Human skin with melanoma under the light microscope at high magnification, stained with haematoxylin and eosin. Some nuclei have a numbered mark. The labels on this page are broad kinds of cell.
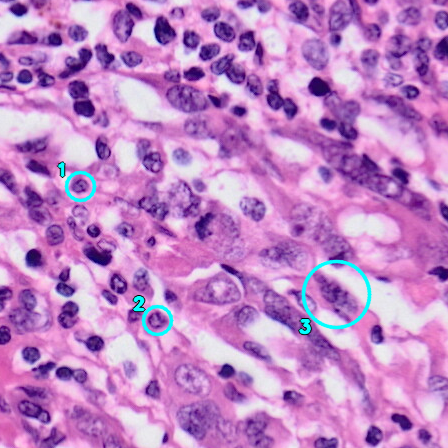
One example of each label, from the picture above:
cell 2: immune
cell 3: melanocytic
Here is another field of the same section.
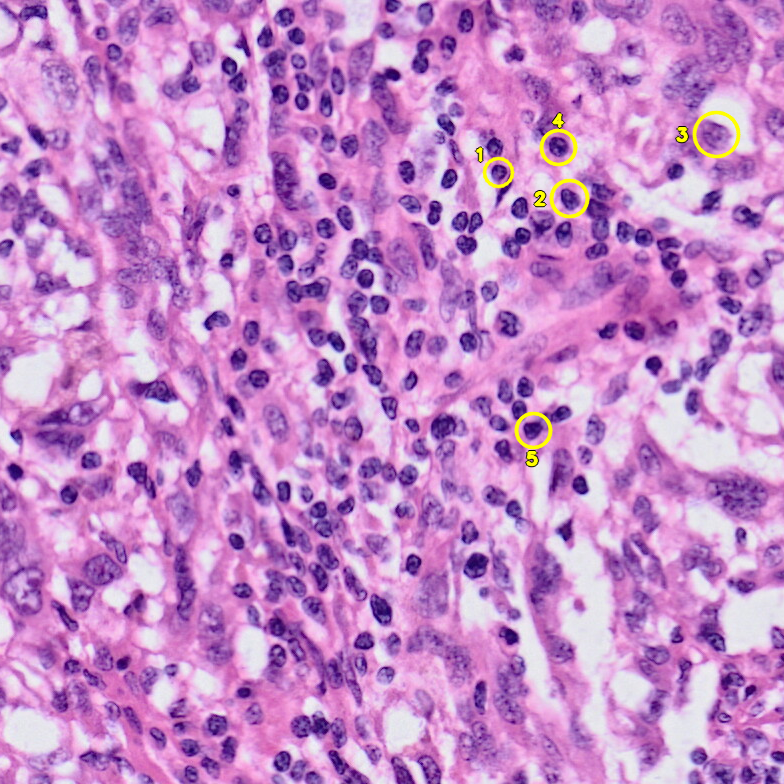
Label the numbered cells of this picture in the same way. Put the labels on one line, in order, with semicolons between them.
immune; immune; melanocytic; immune; immune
